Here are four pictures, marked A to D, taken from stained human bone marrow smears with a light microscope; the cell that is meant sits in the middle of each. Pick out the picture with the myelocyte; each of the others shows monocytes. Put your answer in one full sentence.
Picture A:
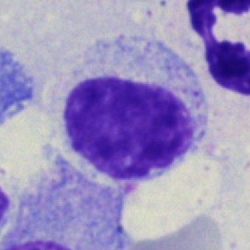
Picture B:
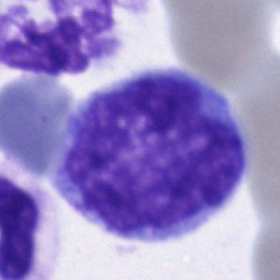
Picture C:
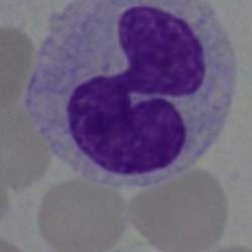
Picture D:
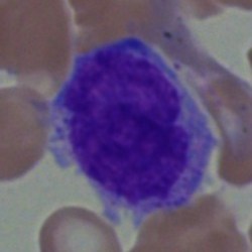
Picture A shows the myelocyte.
